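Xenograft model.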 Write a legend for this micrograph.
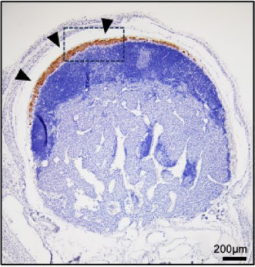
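This low-power section shows a lymph node with metastatic tumor cells. A band of brown-stained tumor cells lies just beneath the capsule and follows the curved outer edge of the node. The interior of the node is filled with densely packed, small blue-stained cells, with paler branching spaces running through the centre. A thin capsule and loose surrounding tissue lie outside the brown layer.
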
